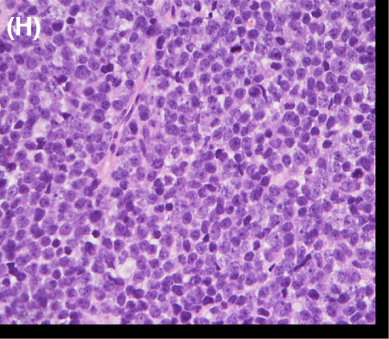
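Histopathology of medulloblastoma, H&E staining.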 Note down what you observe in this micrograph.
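This is a tumor made of tightly packed small round cells with dark blue nuclei. The nuclei are round to slightly oval and hyperchromatic, and the cytoplasm is scant, so the field looks predominantly blue-purple. The cells form diffuse sheets with hardly any intervening stroma. A thin pink strand of connective tissue crosses the field. Overall the appearance is that of a small blue round cell tumor.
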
